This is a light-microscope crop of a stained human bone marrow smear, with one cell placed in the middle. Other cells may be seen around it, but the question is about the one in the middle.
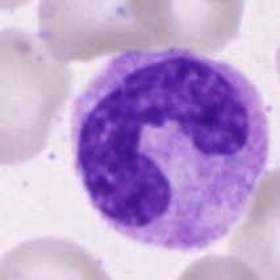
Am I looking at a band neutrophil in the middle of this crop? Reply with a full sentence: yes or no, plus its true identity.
Yes, the crop's central cell is a band neutrophil.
